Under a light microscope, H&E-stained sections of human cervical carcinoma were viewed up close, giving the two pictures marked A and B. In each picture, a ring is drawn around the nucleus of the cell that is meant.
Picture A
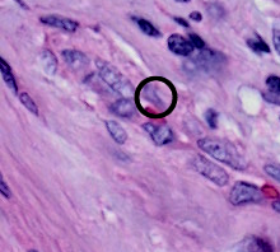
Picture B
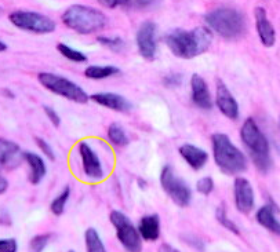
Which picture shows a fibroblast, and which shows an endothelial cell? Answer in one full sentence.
Picture B shows a fibroblast, while picture A shows an endothelial cell.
